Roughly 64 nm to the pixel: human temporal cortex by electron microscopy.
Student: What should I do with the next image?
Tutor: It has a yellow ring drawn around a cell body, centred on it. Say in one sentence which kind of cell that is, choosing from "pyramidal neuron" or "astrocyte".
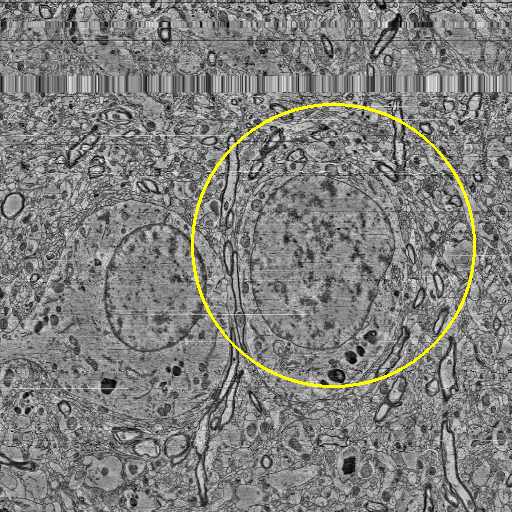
The ring's centre is occupied by a pyramidal neuron.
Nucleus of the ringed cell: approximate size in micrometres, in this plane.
In this plane, the nucleus is roughly 12 by 10 micrometres.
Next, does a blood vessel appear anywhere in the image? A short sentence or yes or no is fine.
No.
